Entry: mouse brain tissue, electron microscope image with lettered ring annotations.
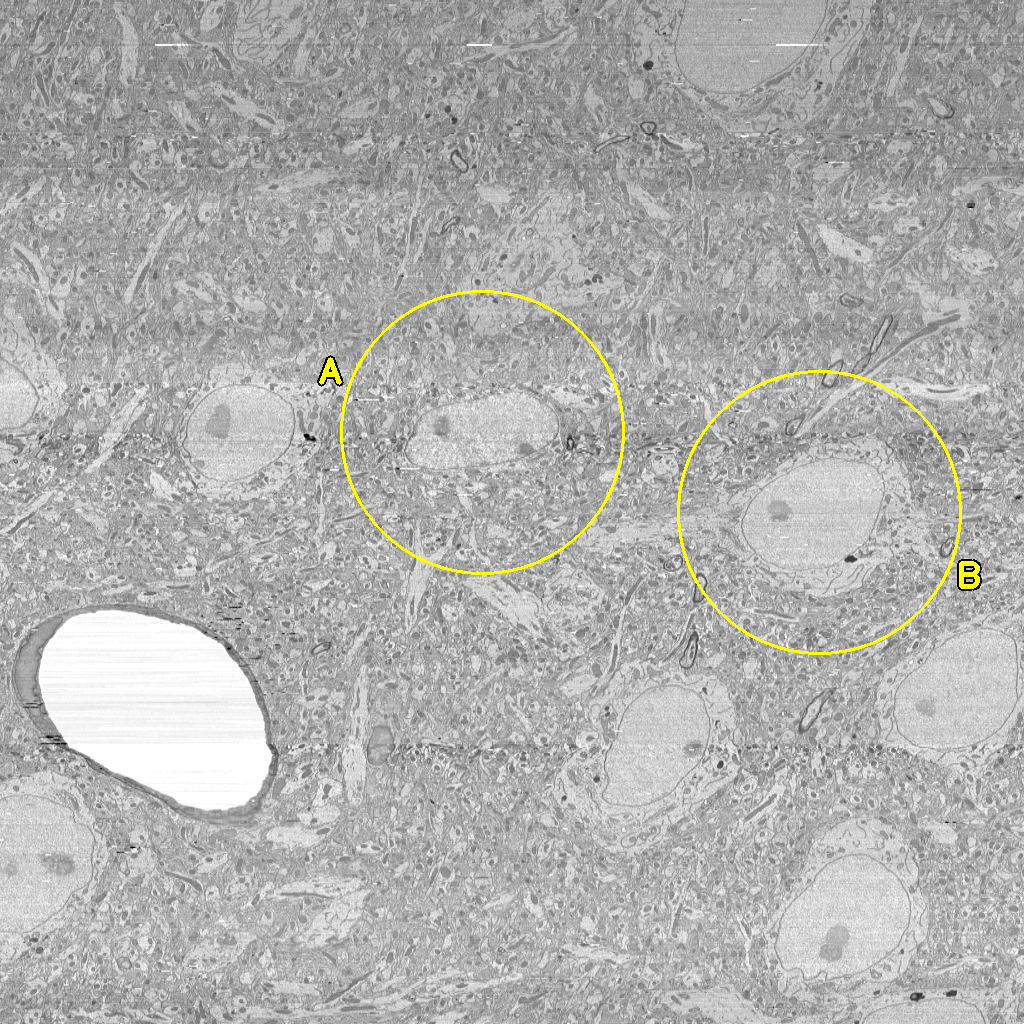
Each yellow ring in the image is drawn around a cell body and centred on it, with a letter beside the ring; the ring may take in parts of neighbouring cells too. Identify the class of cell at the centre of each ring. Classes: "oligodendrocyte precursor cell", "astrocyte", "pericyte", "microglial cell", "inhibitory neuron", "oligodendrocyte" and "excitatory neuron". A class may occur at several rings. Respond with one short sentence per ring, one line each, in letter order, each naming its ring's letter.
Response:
Ring A holds an astrocyte at its centre.
Ring B holds an excitatory neuron at its centre.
